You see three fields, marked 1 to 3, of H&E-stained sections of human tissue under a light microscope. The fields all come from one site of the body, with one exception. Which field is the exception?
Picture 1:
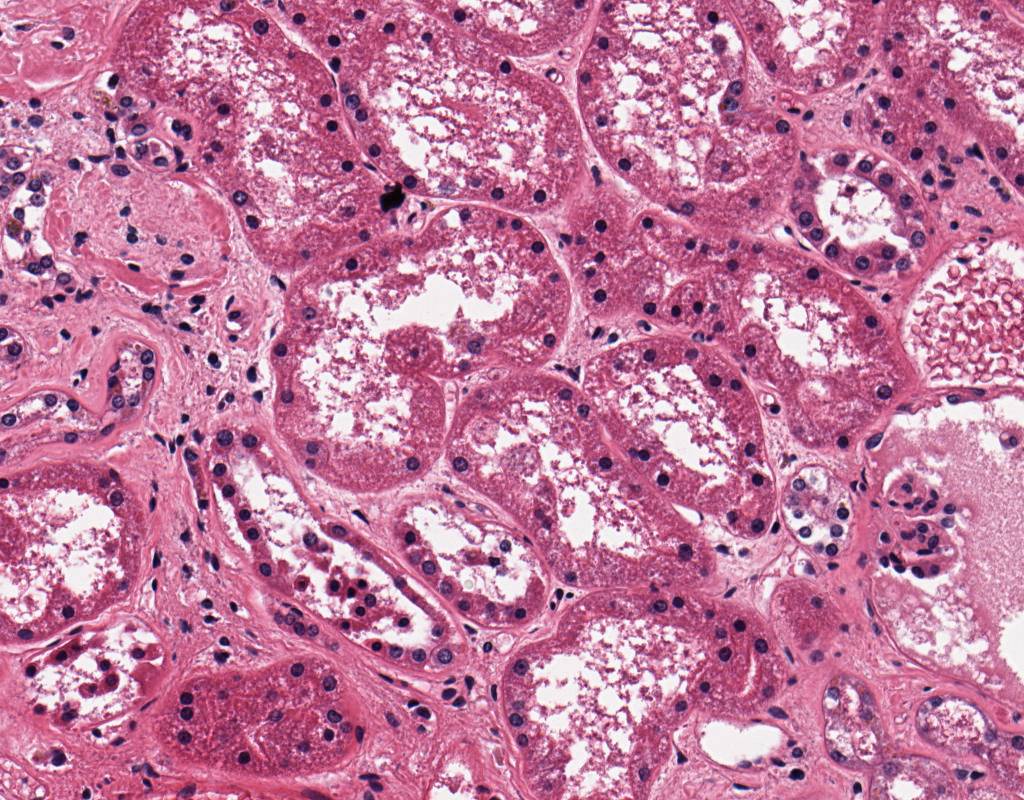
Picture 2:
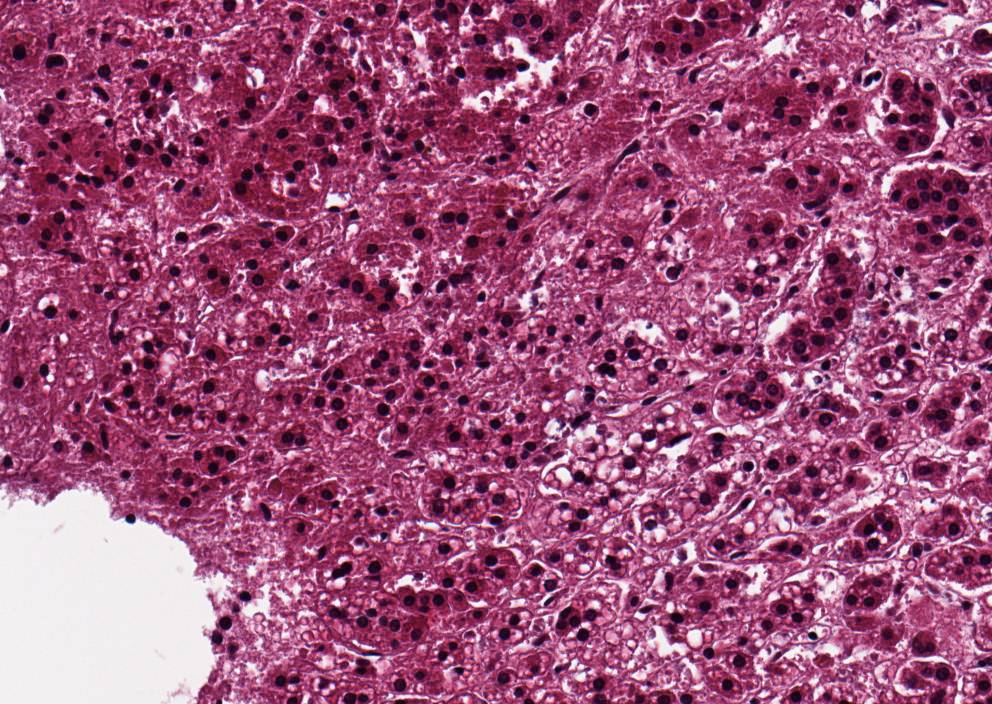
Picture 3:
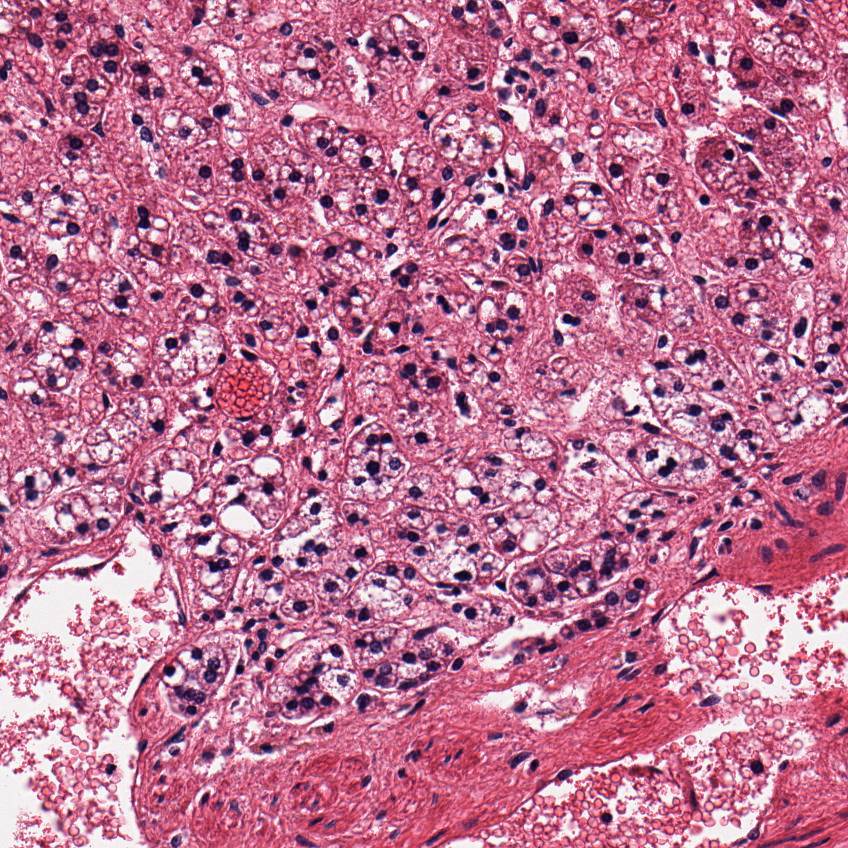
1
